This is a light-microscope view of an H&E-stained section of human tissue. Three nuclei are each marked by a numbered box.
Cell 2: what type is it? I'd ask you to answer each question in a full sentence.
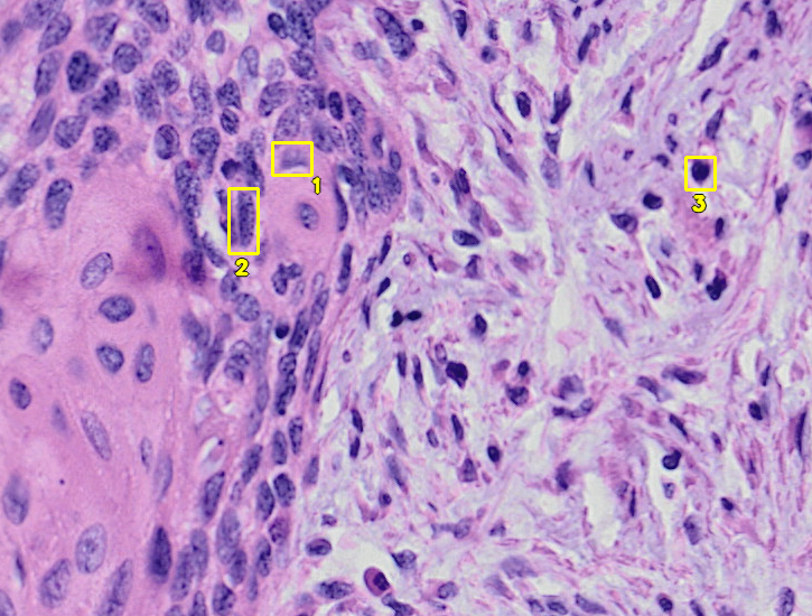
Number 2 among the marked cells is a squamous carcinoma cell.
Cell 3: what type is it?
The marked cell bearing number 3 is a lymphocyte.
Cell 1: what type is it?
The numbered cell 1 in this field is a squamous carcinoma cell.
